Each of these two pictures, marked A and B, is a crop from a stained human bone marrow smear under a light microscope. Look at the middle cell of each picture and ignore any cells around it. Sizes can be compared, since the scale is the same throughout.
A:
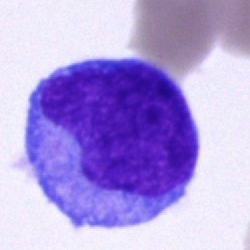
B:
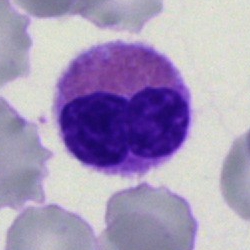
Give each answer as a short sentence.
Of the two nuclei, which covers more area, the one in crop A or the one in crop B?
Crop A shows the larger nucleus; it covers about 2 times the area of the nucleus in crop B.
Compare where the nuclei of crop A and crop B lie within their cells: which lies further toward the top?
The nucleus in crop A lies further toward the top of its cell.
